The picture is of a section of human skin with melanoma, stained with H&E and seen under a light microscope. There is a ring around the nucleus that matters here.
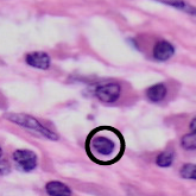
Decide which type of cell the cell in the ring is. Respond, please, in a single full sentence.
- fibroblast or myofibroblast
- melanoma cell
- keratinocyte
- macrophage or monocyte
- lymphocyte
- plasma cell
It is as a plasma cell that the cell in the ring is recorded.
